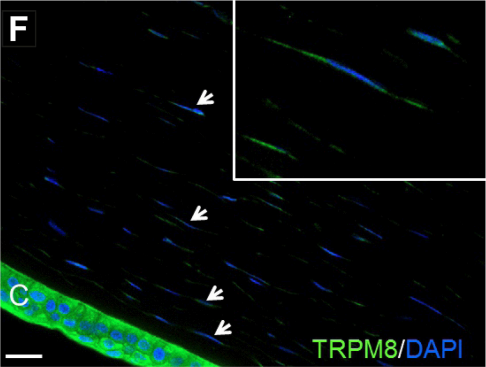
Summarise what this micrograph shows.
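This is a cross section through the cornea, with the stroma filling most of the field and the epithelium along the bottom edge. The stromal keratocytes appear as thin, very elongated blue nuclei, scattered sparsely and all lying parallel to the surface. Faint green signal runs along their slender cell bodies, best seen in the enlarged inset where a flattened cell stretches out on both sides of its nucleus. At the bottom, the corneal epithelial cells form a compact, stratified band of several layers with rounded blue nuclei and bright green cytoplasm. Between the keratocytes the stroma is dark, as it consists of extracellular matrix rather than cells.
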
